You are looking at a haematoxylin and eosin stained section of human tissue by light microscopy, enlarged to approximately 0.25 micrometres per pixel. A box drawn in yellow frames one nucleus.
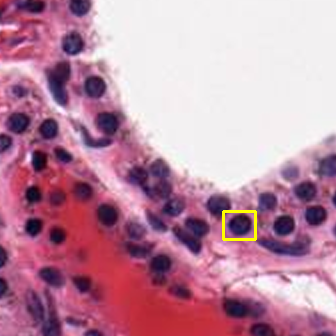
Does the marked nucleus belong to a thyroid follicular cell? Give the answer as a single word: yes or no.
yes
